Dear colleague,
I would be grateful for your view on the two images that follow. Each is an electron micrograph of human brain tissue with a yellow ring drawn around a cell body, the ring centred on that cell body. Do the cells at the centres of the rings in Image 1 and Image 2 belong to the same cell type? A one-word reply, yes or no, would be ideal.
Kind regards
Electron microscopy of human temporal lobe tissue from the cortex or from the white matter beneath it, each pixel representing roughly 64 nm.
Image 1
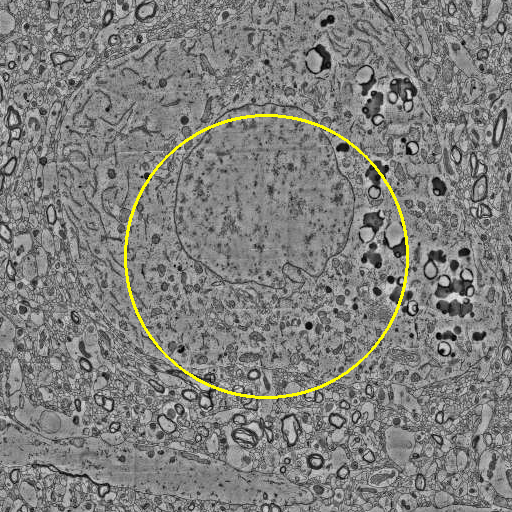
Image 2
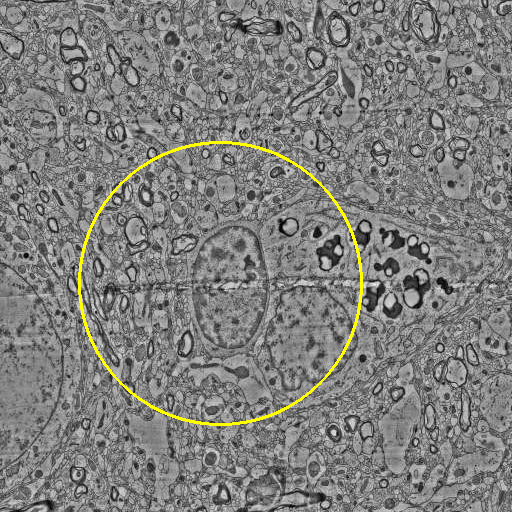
no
